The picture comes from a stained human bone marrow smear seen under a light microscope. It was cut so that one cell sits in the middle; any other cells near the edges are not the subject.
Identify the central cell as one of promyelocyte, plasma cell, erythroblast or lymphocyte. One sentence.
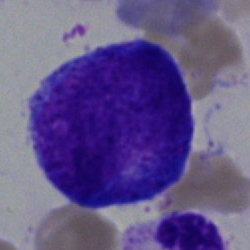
The center cell of this crop is a promyelocyte.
